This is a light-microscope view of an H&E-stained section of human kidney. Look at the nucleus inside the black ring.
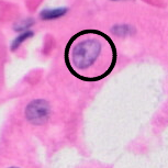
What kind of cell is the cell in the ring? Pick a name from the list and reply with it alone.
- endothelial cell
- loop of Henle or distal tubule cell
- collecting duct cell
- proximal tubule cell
proximal tubule cell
